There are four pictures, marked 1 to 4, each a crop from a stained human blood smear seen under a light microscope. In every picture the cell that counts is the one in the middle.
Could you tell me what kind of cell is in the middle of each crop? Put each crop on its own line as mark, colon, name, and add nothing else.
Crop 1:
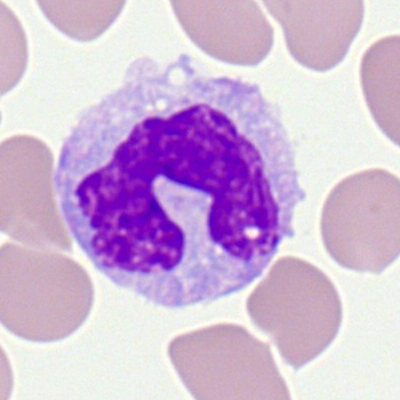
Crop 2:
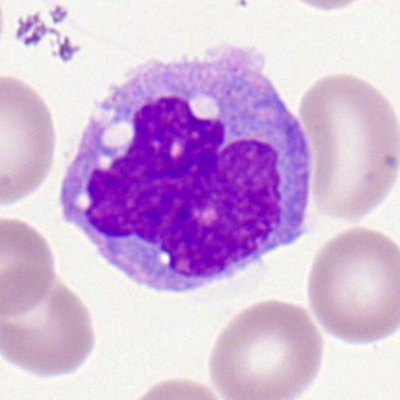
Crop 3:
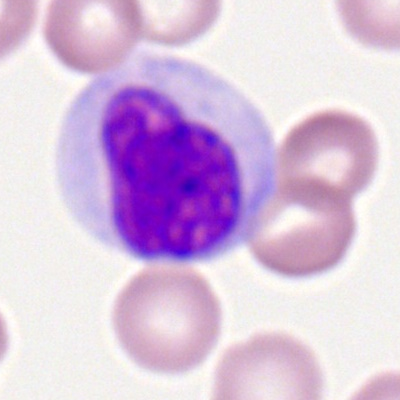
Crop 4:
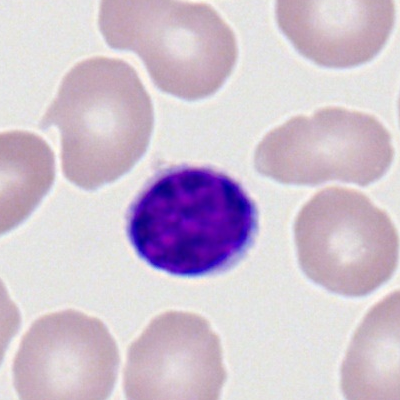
1: monocyte
2: monocyte
3: monocyte
4: lymphocyte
